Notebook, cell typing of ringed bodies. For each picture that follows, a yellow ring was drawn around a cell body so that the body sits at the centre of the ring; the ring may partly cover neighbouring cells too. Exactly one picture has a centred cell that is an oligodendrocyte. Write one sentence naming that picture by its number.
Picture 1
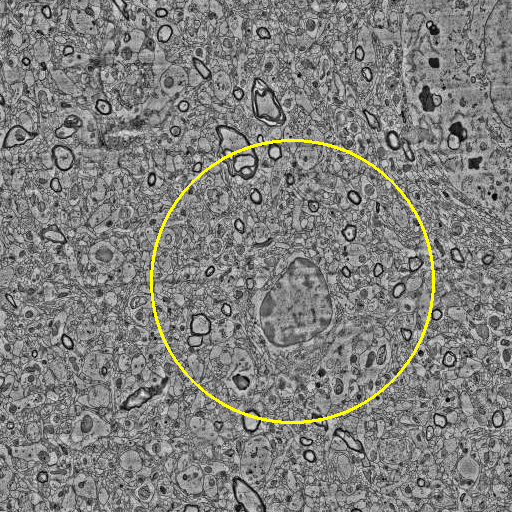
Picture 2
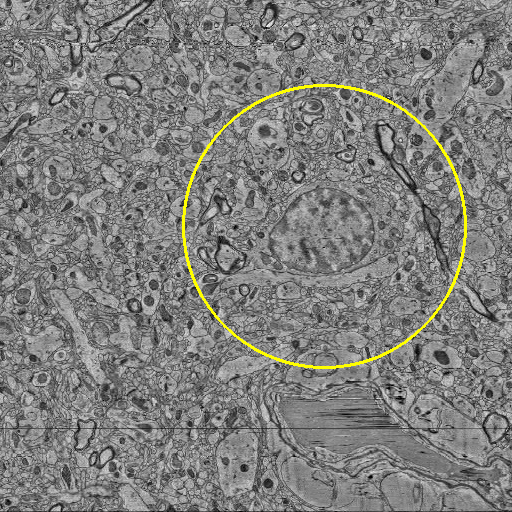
Picture 2 is the one with it at the centre of its ring.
